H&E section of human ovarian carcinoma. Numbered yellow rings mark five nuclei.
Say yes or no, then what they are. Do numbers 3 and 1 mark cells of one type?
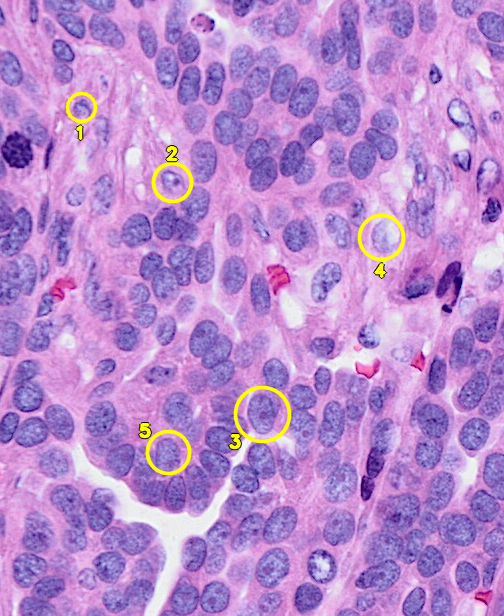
No, cell 3 is a carcinoma cell and cell 1 is a fibroblast.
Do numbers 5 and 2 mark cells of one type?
No, cell 5 is a carcinoma cell and cell 2 is a fibroblast.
